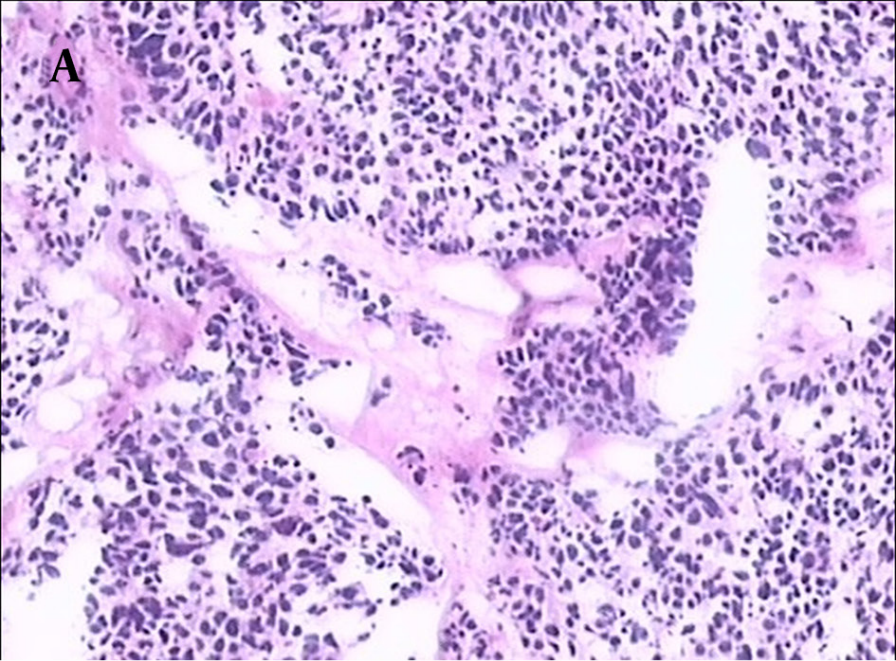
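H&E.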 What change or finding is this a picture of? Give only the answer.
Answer: Hyperchromatic nuclei.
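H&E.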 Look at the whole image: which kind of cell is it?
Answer: Cancer cells.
